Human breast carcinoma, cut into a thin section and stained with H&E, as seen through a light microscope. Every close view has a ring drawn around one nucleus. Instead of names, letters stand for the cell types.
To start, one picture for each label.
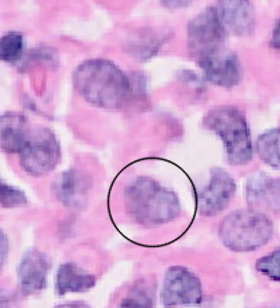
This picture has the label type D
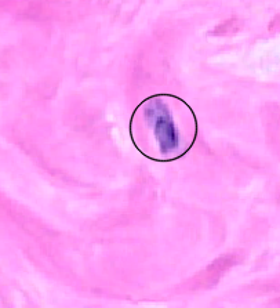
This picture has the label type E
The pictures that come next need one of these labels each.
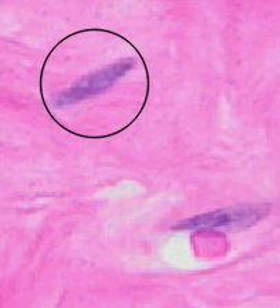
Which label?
type E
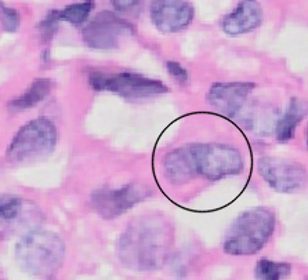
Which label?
type D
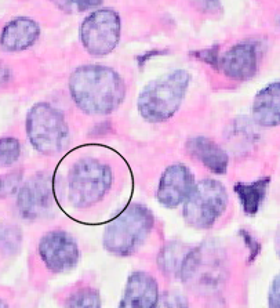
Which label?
type D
